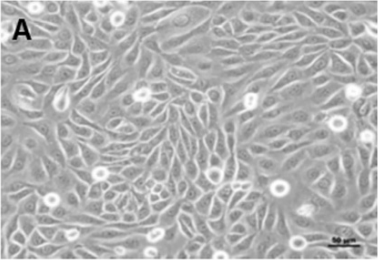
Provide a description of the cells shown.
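This is a dense, nearly confluent monolayer of cultured adherent cells seen by phase contrast. Most cells are polygonal to elongated and spindle-like, lying closely packed side by side with thin processes touching their neighbours. Scattered among them are small, rounded, bright-rimmed cells that sit above the monolayer.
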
